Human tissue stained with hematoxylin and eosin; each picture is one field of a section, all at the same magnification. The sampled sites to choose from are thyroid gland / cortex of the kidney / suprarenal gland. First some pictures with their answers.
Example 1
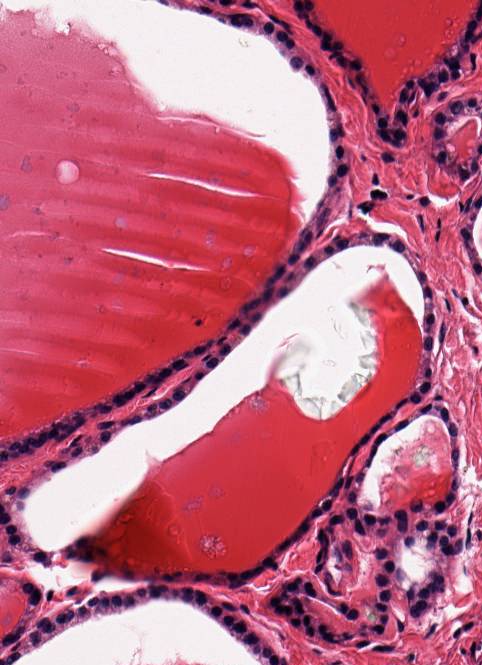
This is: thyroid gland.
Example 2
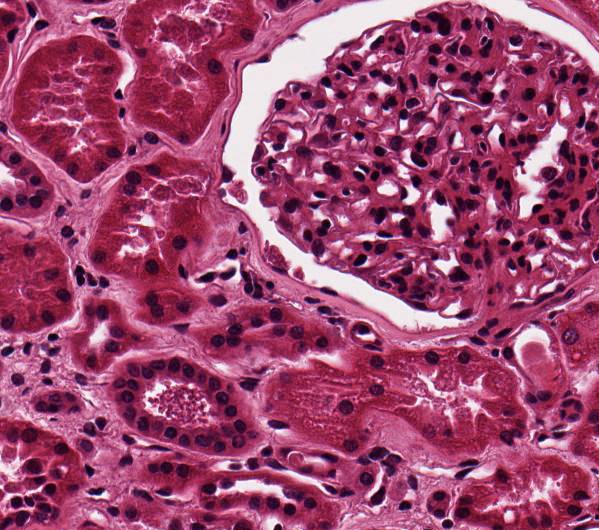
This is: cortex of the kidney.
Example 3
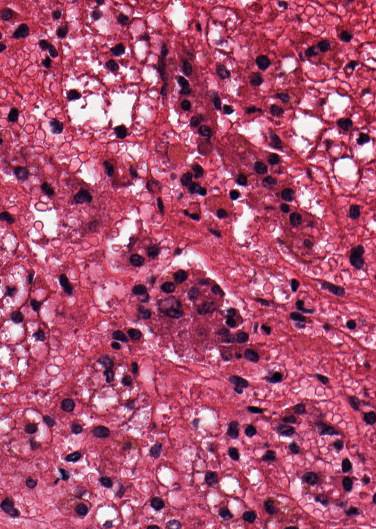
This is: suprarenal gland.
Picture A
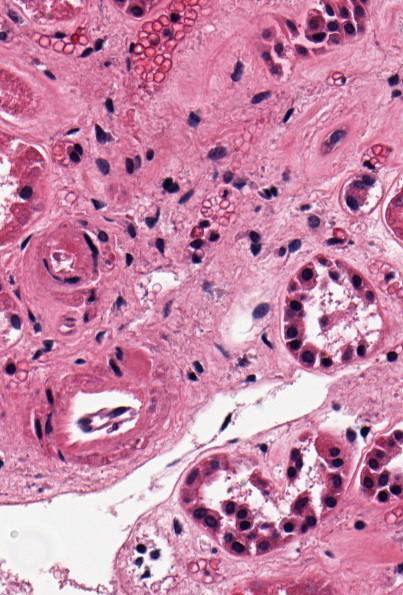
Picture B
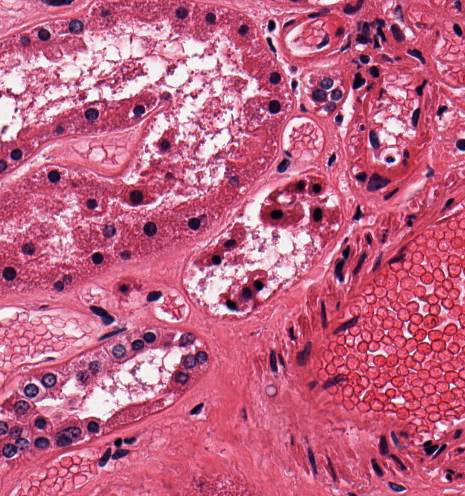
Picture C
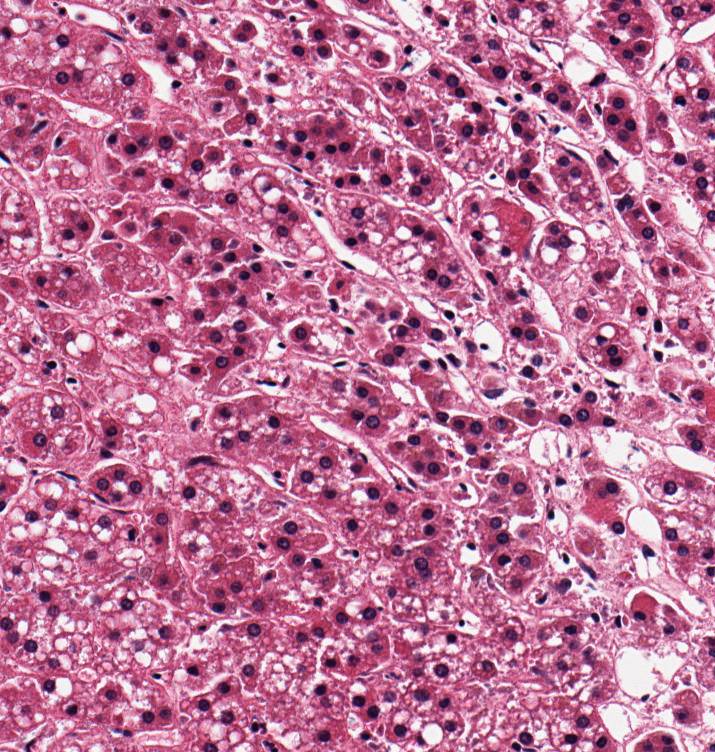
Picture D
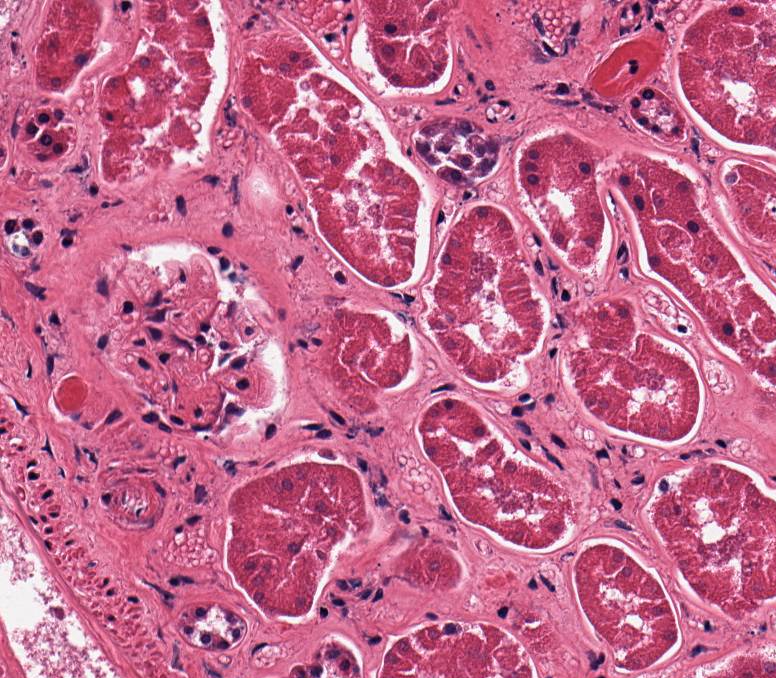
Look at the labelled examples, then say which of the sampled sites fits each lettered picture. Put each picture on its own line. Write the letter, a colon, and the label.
A: cortex of the kidney.
B: cortex of the kidney.
C: suprarenal gland.
D: cortex of the kidney.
